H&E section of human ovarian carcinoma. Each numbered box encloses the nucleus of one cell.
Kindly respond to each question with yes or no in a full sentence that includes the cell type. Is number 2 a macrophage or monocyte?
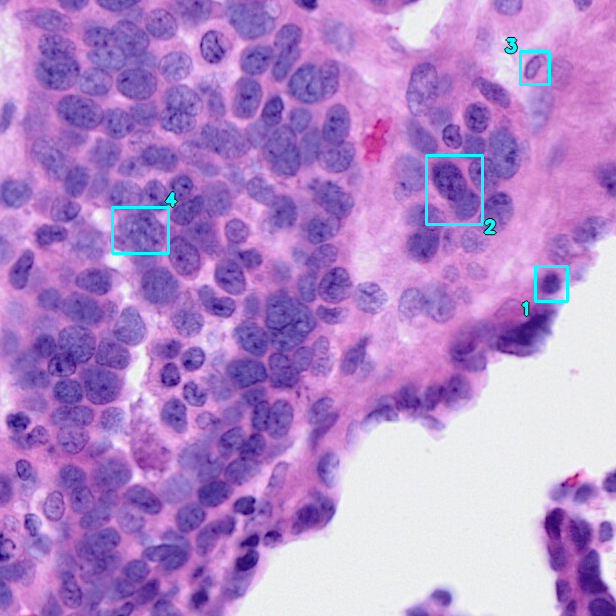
No, cell 2 is a carcinoma cell; it is not a macrophage or monocyte.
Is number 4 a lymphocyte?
No, a carcinoma cell is what cell 4 is, not a lymphocyte.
